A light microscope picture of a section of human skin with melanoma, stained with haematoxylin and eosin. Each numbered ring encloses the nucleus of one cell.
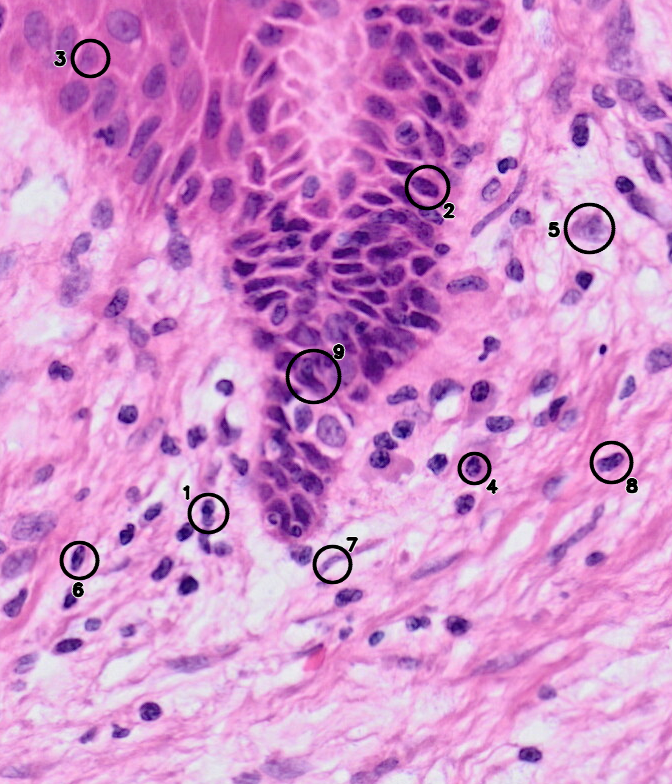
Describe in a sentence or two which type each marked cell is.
Cells 1, 6 and 8 are lymphocytes. Cells 2, 3 and 9 are keratinocytes. Cell 4 is a plasma cell. Cells 5 and 7 are fibroblasts or myofibroblasts.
